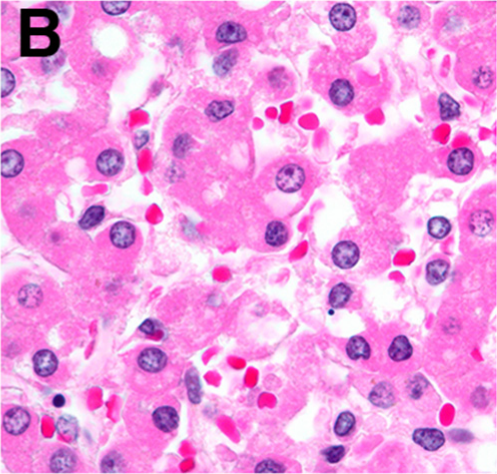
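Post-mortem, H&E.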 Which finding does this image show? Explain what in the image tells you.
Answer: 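Abnormally granular. The pink cytoplasm of the large cells looks finely granular rather than smooth.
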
